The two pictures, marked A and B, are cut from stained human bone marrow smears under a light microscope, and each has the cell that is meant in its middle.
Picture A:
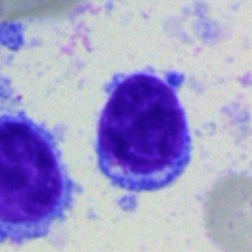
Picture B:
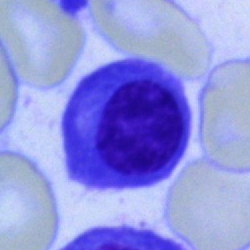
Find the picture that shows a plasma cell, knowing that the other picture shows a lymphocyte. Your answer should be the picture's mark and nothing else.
B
